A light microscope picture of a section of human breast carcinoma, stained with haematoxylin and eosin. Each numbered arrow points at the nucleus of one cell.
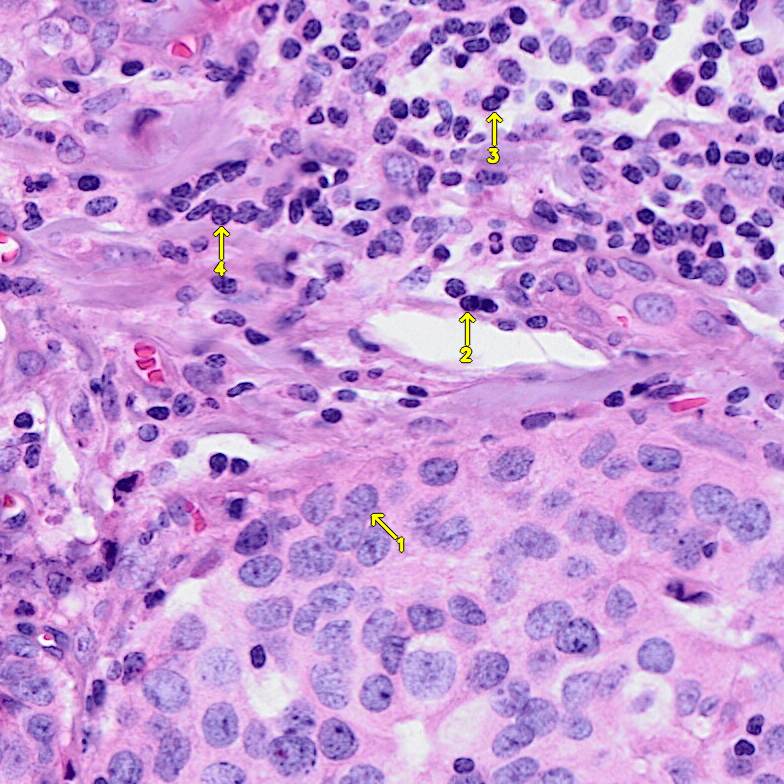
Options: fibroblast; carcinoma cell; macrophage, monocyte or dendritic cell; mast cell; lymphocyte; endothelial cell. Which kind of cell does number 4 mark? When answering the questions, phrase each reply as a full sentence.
The numbered cell 4 is identified here as a lymphocyte.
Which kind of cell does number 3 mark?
The cell marked with number 3 is a lymphocyte.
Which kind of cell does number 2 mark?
The cell indicated by marker 2 is a lymphocyte in this section.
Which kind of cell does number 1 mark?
Among the marked nuclei, number 1 belongs to a carcinoma cell.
